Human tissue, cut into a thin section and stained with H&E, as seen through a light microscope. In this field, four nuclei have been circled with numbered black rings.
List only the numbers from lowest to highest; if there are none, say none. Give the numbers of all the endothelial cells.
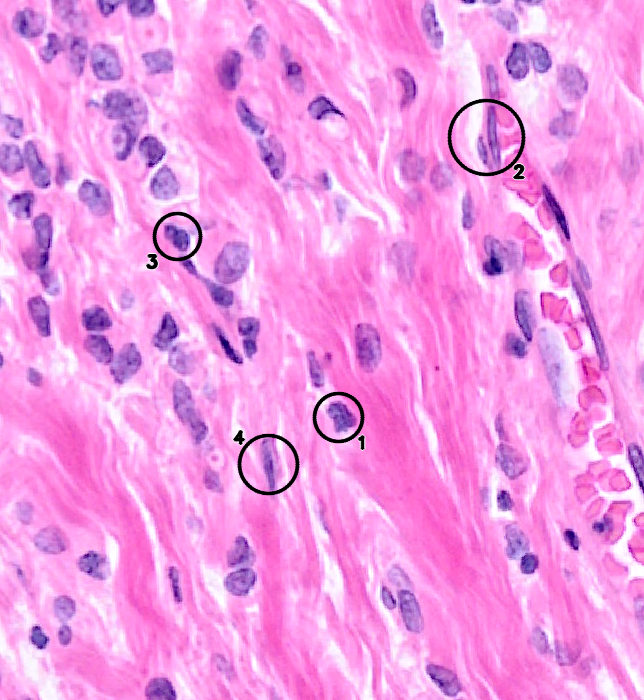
2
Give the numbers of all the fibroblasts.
4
